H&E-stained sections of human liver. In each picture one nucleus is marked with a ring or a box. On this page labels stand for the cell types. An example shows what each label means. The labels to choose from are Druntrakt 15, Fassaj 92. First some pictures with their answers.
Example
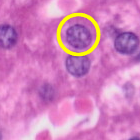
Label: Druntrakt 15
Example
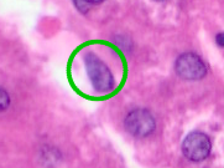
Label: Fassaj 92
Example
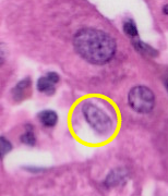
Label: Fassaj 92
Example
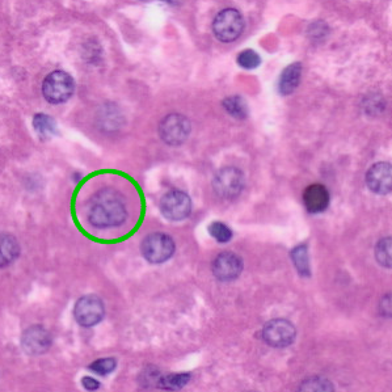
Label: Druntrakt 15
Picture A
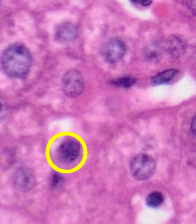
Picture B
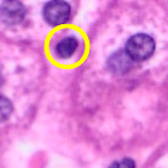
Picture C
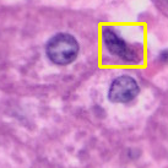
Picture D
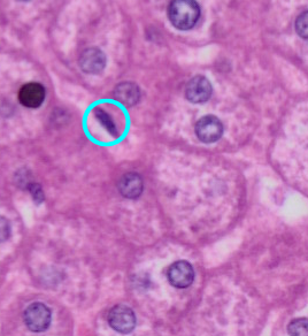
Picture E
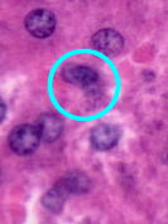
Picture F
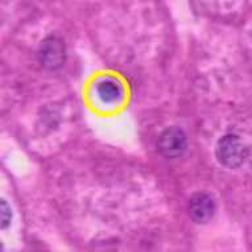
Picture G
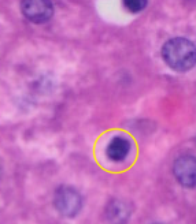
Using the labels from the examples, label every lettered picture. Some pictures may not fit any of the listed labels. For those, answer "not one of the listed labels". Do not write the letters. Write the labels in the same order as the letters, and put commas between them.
Fassaj 92, not one of the listed labels, Fassaj 92, Fassaj 92, Fassaj 92, not one of the listed labels, not one of the listed labels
